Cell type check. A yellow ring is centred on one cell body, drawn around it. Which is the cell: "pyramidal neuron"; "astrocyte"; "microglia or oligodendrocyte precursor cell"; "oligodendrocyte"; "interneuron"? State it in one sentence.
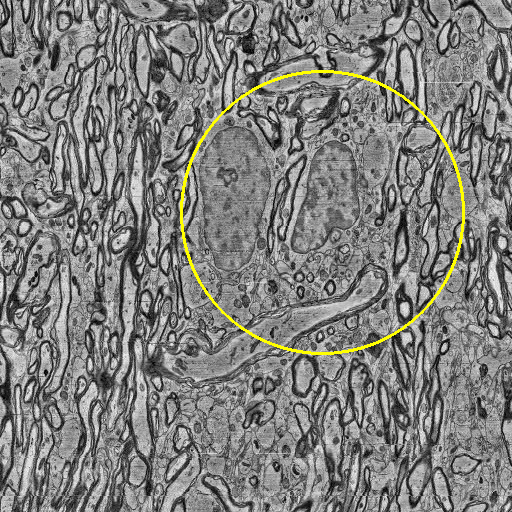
The cell body at the ring's centre belongs to a microglial cell or oligodendrocyte precursor cell.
